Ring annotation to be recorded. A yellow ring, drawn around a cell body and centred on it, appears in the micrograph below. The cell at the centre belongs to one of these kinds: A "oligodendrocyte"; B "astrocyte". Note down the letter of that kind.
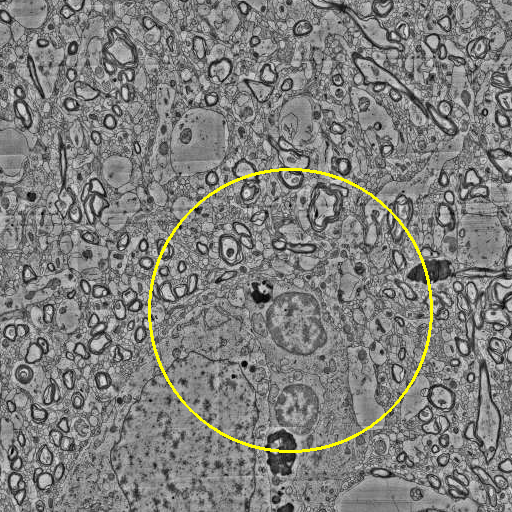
A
